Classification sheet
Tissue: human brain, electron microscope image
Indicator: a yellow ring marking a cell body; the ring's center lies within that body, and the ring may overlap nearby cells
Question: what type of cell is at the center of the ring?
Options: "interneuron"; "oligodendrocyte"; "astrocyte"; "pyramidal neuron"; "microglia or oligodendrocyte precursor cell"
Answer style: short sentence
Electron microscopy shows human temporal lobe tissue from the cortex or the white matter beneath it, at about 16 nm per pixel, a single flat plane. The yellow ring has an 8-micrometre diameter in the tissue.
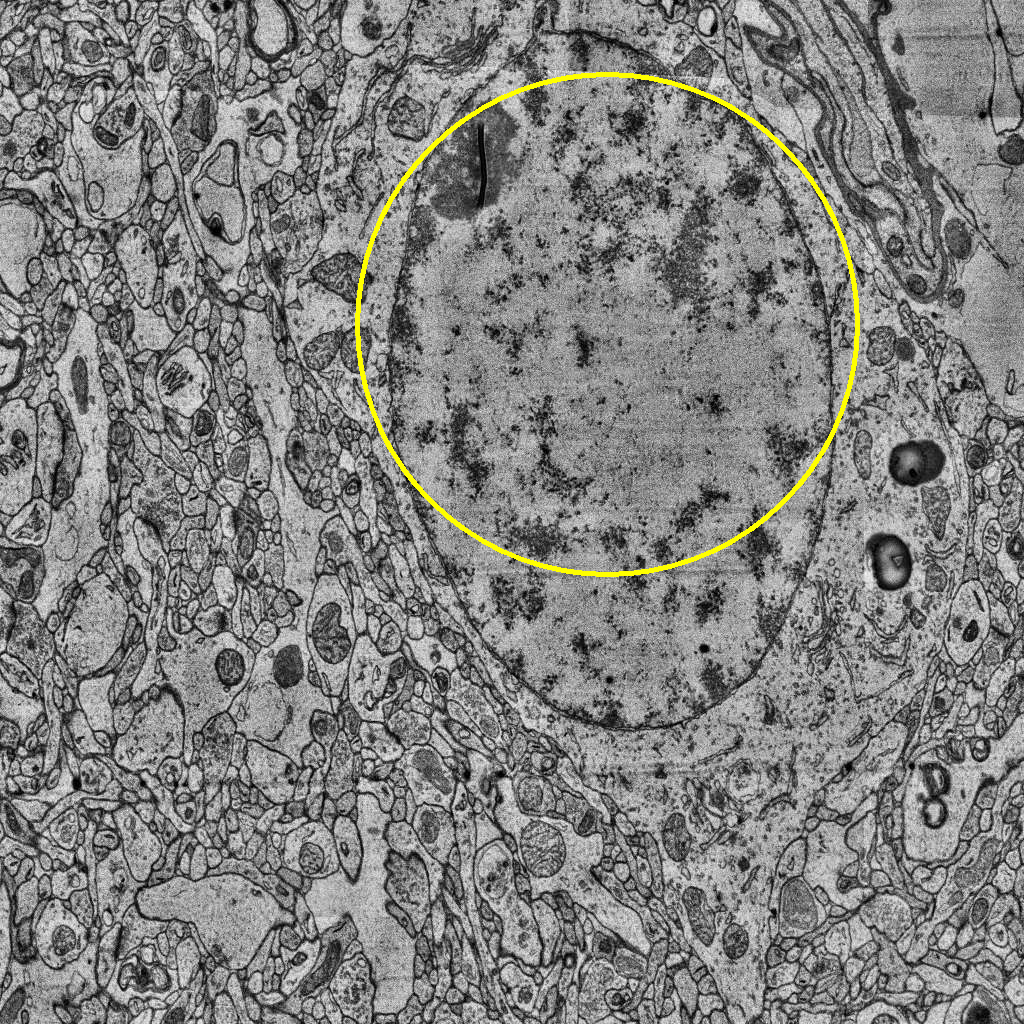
At the ring's center is a pyramidal neuron.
